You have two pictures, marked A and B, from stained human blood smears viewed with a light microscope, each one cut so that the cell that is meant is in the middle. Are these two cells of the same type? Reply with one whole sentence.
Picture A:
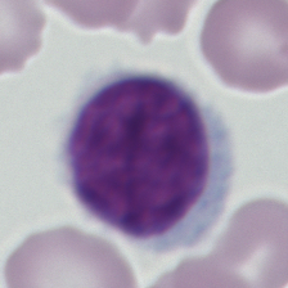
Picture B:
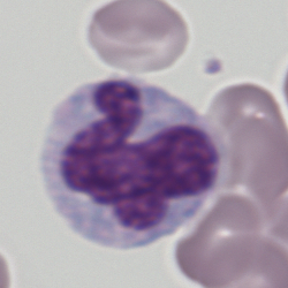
No. Picture A shows a hairy cell, but picture B shows a monocyte.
